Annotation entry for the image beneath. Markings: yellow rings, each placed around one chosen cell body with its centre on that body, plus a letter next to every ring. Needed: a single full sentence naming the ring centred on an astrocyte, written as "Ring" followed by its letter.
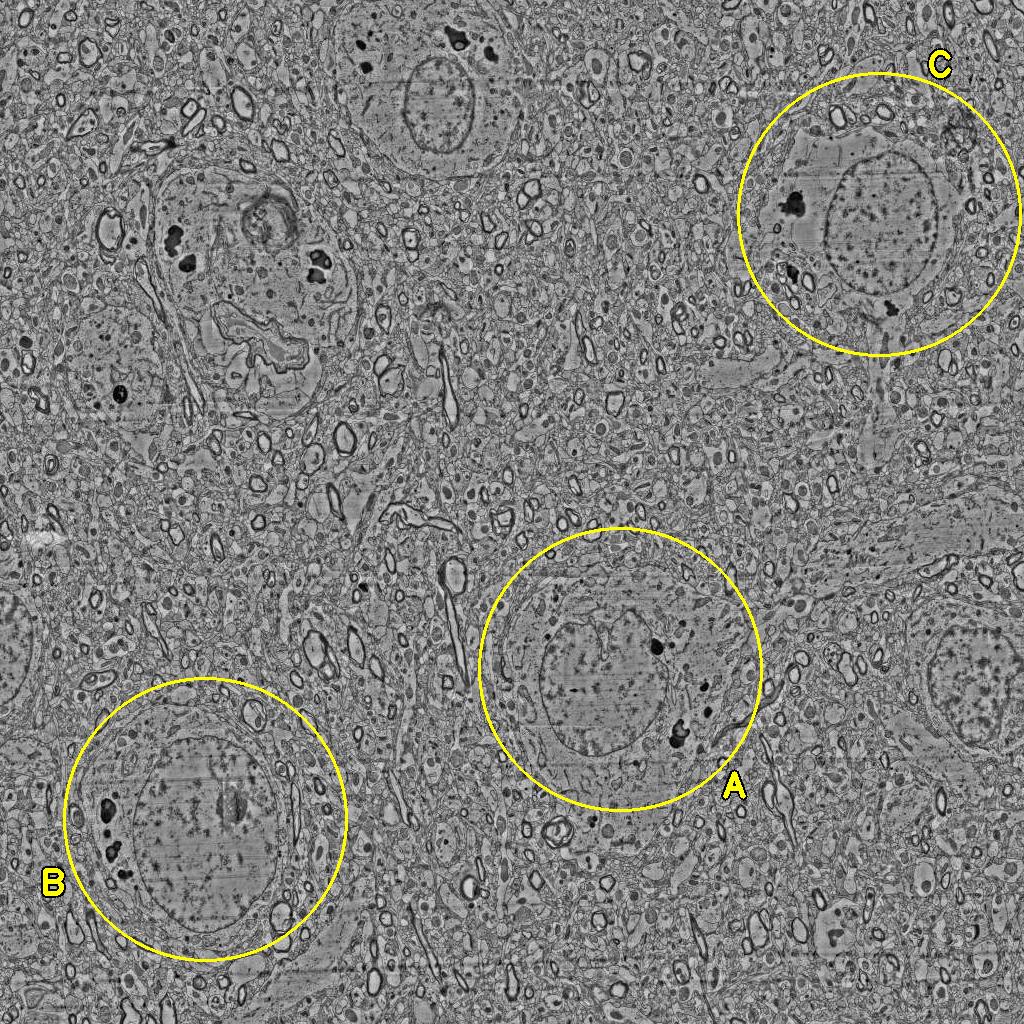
The image shows the cell in question at the centre of Ring C.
